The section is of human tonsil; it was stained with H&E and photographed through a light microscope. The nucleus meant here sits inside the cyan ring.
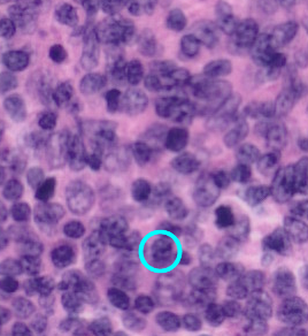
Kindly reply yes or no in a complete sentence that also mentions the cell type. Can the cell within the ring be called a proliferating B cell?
Yes, classifying the cell within the ring as a proliferating B cell is accurate.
